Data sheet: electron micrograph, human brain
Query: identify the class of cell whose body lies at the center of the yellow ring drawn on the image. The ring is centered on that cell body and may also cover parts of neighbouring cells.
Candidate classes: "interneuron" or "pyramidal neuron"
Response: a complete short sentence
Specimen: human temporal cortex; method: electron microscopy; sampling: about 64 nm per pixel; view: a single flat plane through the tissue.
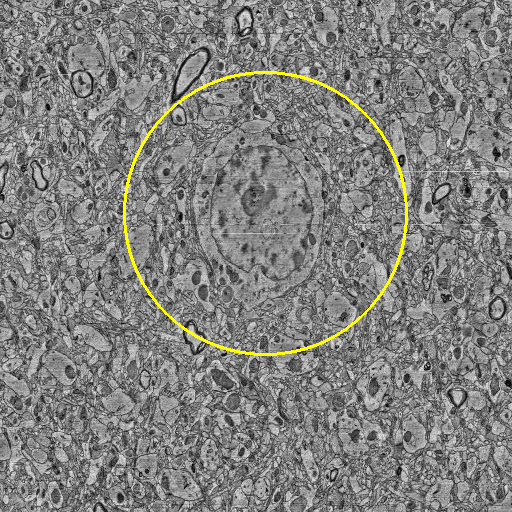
At the center of the ring lies an interneuron.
